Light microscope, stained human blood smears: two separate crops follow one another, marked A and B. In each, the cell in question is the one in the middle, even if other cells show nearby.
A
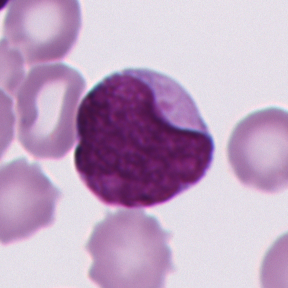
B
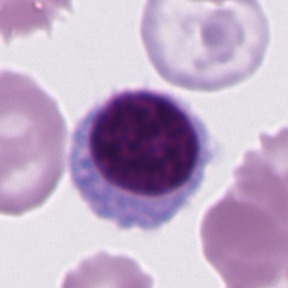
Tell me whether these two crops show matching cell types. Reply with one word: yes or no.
no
